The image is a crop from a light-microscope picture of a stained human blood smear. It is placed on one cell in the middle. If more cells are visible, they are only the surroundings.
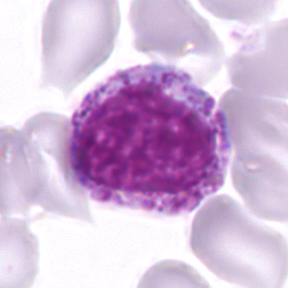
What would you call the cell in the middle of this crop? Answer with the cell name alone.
myelocyte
